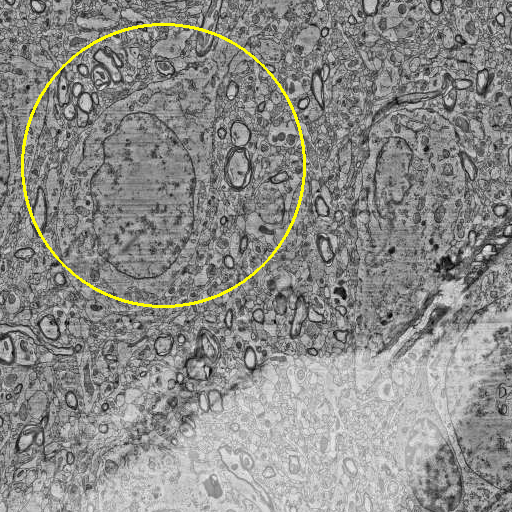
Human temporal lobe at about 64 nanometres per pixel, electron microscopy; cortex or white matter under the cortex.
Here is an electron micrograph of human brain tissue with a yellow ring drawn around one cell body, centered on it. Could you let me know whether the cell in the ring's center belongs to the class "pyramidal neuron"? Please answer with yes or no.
yes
